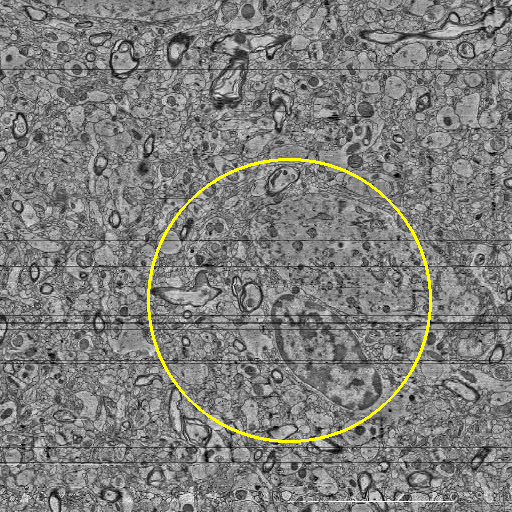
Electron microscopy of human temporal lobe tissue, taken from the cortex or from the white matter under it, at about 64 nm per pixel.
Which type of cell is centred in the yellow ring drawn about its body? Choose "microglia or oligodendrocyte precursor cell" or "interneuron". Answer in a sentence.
The yellow ring surrounds the cell body of a microglial cell or oligodendrocyte precursor cell.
